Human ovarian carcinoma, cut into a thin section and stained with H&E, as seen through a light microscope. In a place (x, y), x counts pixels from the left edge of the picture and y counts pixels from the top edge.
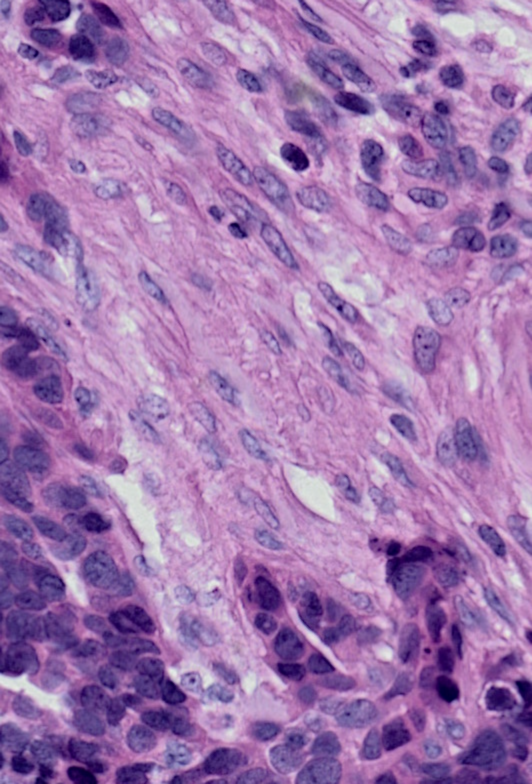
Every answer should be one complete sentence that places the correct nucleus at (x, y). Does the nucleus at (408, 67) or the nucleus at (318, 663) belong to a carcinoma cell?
It is the nucleus at (318, 663) that forms part of a carcinoma cell.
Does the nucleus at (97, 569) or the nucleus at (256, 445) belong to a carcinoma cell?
It is the nucleus at (97, 569), not the other one, that belongs to a carcinoma cell.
